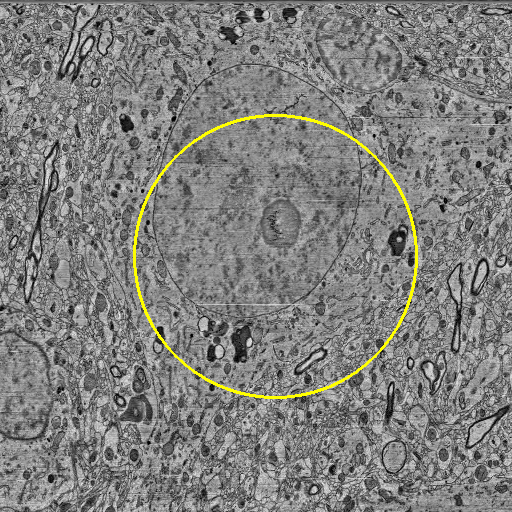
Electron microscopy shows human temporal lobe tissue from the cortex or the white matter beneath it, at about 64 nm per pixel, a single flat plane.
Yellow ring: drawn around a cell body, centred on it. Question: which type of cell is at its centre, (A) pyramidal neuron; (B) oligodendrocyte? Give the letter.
A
